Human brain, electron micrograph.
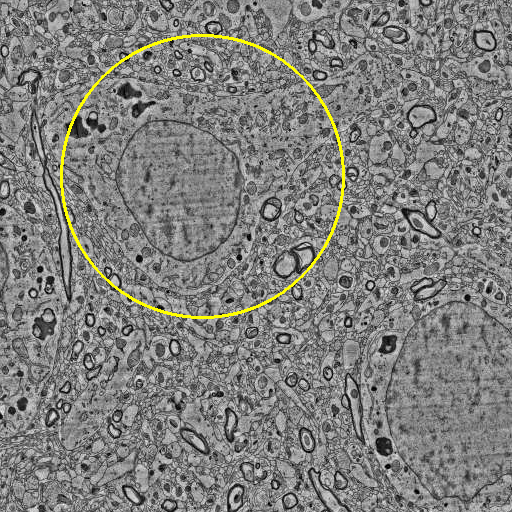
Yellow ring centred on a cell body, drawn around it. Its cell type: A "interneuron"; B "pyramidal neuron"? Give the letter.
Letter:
B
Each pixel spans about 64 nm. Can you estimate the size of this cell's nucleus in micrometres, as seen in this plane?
The ringed cell's nucleus is about 9 micrometres long and 8 micrometres wide in this plane.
